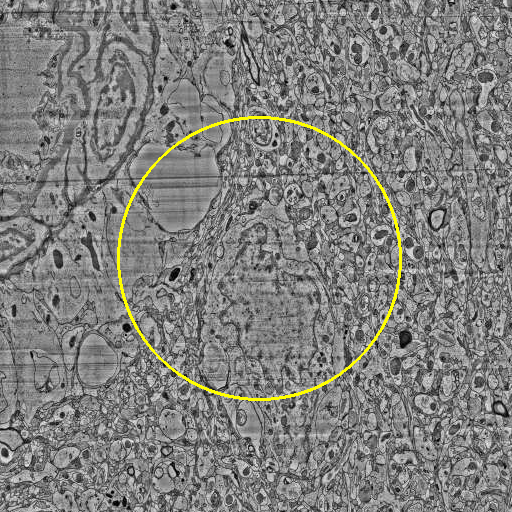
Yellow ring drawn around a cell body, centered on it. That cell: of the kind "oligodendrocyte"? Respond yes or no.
no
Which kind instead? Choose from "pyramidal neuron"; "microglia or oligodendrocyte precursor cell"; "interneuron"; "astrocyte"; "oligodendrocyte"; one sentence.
That cell in the ring is an interneuron instead.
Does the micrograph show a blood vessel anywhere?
Yes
